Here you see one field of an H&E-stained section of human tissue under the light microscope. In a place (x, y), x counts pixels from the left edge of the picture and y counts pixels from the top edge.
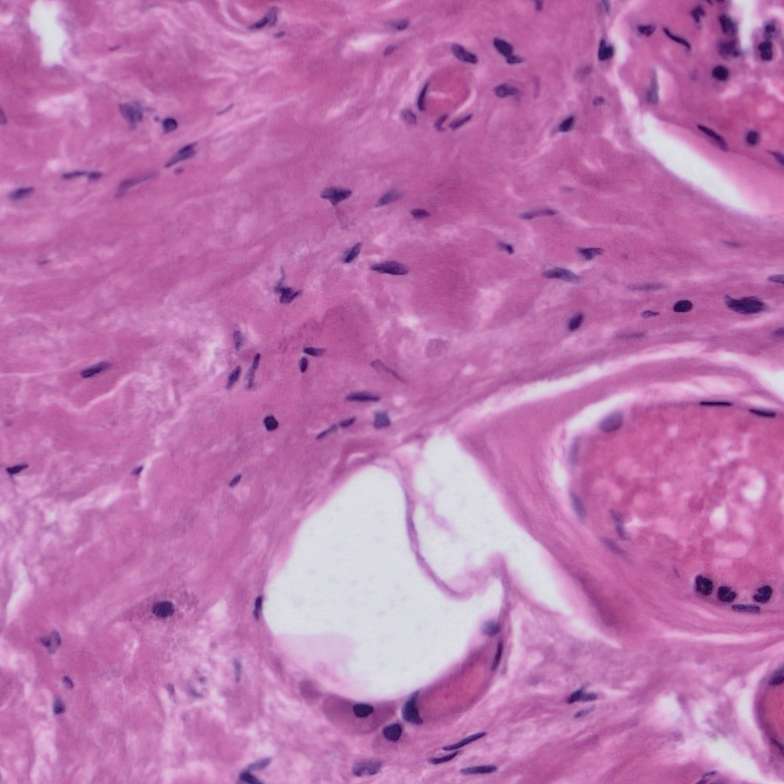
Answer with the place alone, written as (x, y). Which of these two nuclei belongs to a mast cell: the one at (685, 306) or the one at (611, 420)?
(685, 306)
